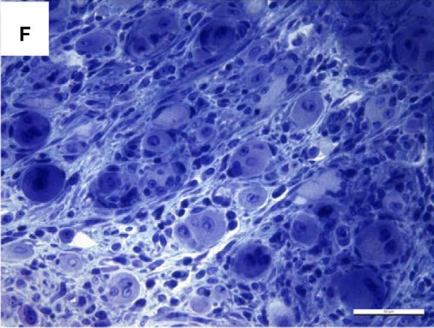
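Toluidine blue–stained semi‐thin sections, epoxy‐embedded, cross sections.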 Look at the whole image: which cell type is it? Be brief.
regenerating myofibres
